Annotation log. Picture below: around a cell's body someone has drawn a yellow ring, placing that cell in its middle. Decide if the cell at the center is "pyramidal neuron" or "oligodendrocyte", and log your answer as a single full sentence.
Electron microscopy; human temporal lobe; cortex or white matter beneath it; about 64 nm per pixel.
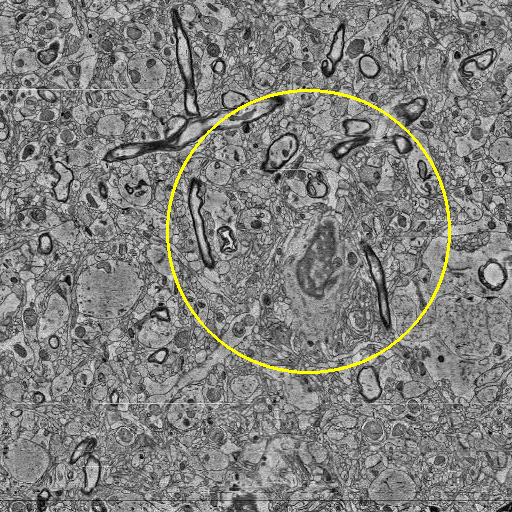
My entry records an oligodendrocyte as the cell sitting at the center of the yellow ring.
